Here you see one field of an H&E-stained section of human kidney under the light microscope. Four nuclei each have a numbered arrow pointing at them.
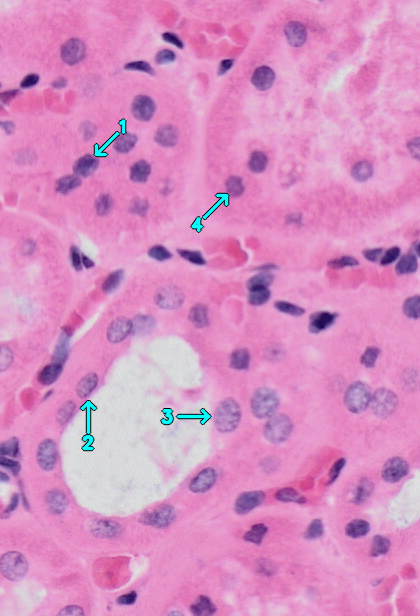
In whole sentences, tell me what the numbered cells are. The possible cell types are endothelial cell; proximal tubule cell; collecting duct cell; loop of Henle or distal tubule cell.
Cells 1, 2 and 3 are loop of Henle or distal tubule cells. Cell 4 is a proximal tubule cell.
